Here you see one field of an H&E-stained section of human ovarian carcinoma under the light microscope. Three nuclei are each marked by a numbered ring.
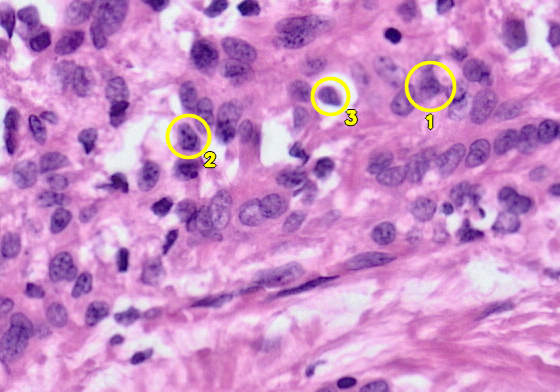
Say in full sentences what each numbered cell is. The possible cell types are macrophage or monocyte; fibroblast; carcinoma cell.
Cell 1 is a carcinoma cell, cell 2 is a macrophage or monocyte and cell 3 is a carcinoma cell.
